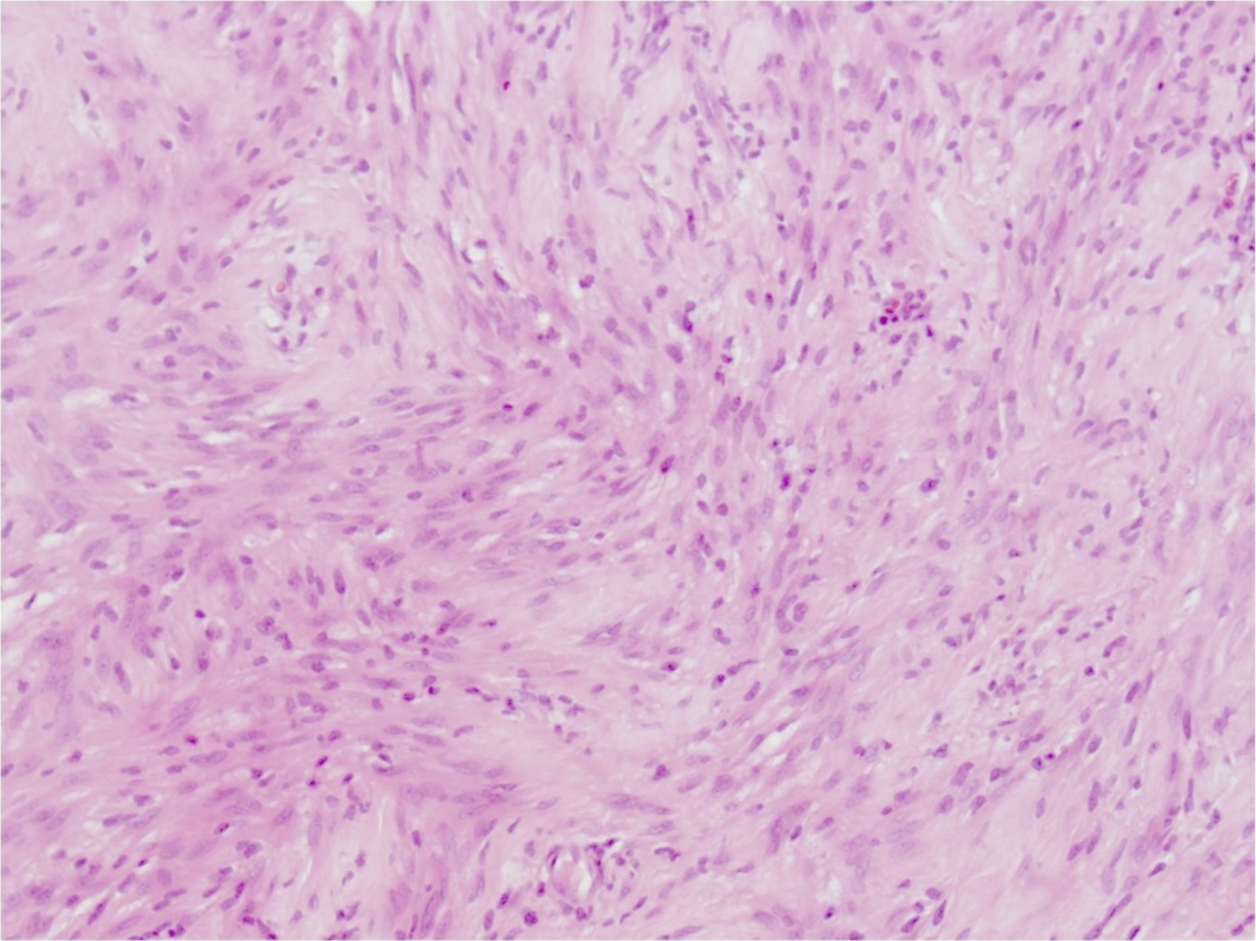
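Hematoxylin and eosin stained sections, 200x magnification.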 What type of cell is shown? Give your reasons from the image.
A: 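Most nuclei are elongated and tapered at both ends. Cells have pale pink, fibrillar cytoplasm drawn out along one axis. On this evidence: spindle-shaped cells.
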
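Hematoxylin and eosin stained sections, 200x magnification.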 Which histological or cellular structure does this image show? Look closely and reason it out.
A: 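Compact interlacing fascicles. Bundles of elongated cells run in different directions and cross one another. The streams of cells sweep and swirl across the field.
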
